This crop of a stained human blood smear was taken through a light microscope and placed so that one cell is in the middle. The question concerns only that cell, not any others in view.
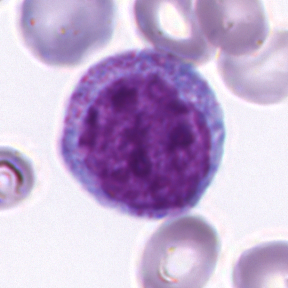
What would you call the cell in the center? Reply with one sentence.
Positioned in the middle of the crop is a promyelocyte.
